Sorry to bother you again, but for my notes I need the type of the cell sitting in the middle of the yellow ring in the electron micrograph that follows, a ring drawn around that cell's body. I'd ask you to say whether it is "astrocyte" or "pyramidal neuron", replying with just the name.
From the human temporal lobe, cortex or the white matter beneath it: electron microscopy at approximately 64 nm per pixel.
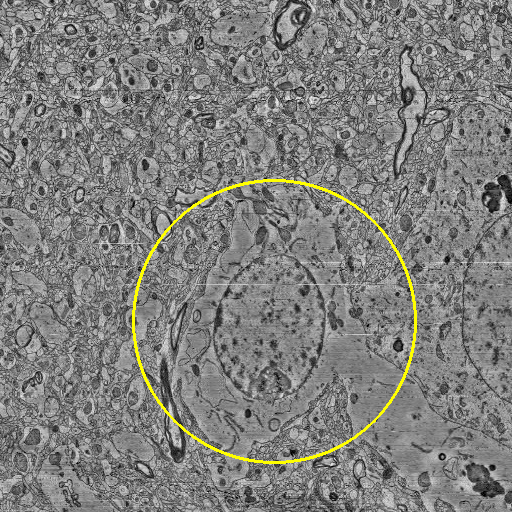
astrocyte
